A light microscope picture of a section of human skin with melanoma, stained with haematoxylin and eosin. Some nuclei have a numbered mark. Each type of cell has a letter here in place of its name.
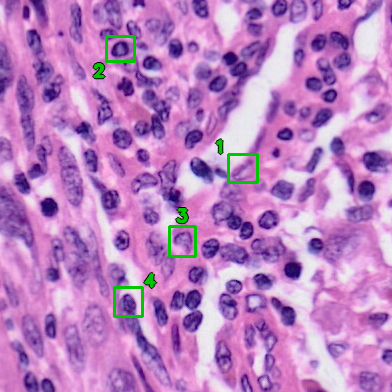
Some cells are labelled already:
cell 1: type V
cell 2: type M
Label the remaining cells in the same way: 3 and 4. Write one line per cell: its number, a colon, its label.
3: type V
4: type M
